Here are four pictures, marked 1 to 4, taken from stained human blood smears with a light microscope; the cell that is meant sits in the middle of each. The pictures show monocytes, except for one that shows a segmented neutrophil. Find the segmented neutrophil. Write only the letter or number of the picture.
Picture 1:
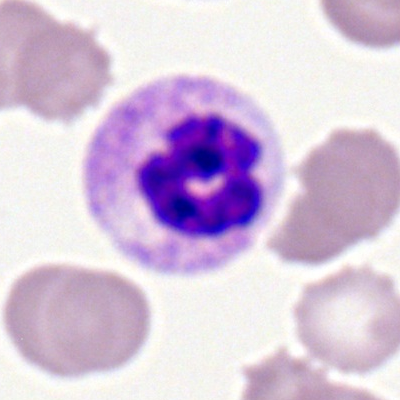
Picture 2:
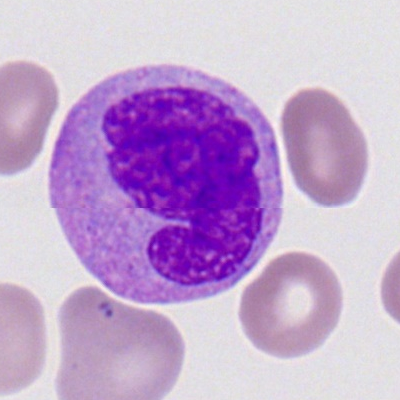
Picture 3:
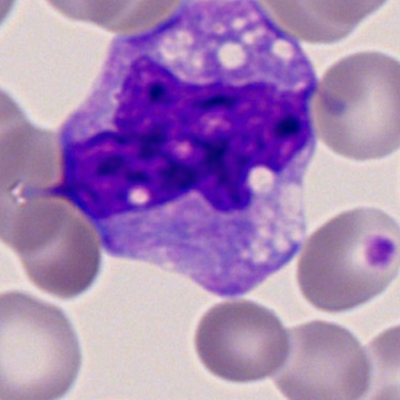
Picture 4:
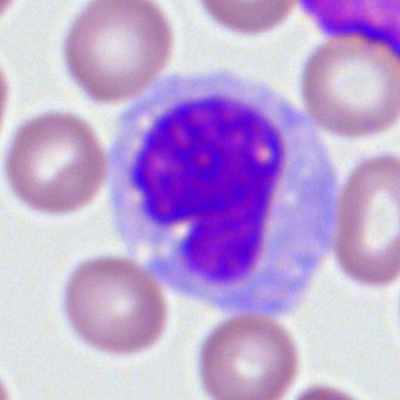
1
